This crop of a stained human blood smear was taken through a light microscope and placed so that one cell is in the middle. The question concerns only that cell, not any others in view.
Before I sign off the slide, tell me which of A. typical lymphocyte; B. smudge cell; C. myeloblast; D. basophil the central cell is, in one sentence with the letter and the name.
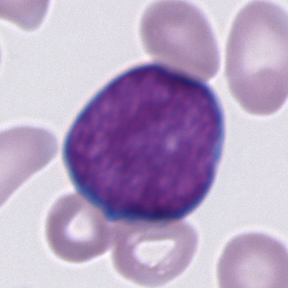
The middle of the crop contains a myeloblast, so option C is right.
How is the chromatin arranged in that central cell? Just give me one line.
No coarse chromatin clumps are present; the pattern is fine.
